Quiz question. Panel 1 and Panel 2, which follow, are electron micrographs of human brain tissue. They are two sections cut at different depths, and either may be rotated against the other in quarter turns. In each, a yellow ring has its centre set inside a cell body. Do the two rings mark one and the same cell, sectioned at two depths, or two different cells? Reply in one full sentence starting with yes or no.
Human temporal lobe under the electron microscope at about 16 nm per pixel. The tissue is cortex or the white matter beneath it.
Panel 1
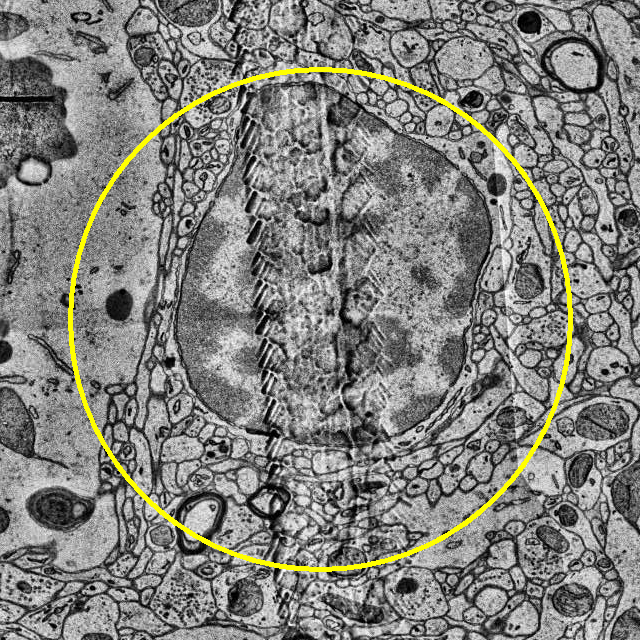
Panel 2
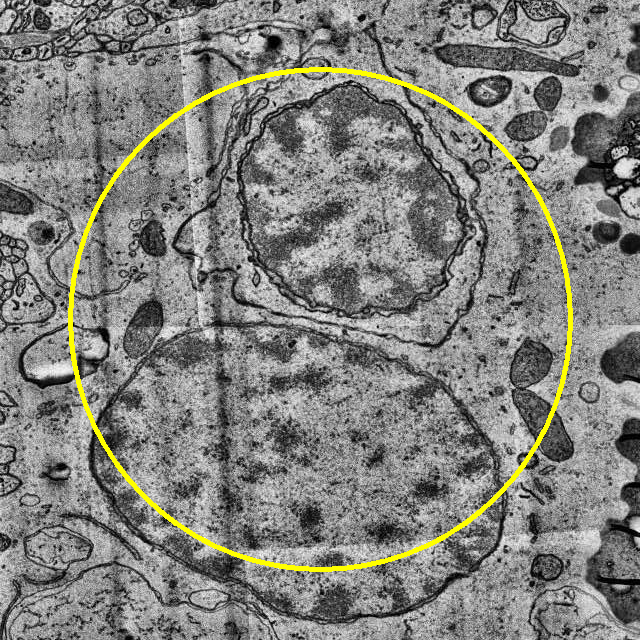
No, the two yellow rings surround two different cells.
